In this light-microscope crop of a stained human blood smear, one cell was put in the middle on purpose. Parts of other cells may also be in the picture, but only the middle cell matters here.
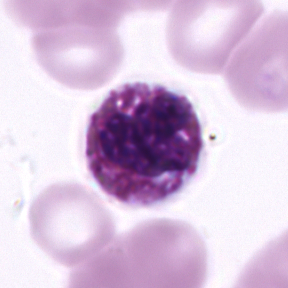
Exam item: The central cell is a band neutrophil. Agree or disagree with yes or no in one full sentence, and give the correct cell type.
No, the middle cell is classified as an eosinophil and not as a band neutrophil.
